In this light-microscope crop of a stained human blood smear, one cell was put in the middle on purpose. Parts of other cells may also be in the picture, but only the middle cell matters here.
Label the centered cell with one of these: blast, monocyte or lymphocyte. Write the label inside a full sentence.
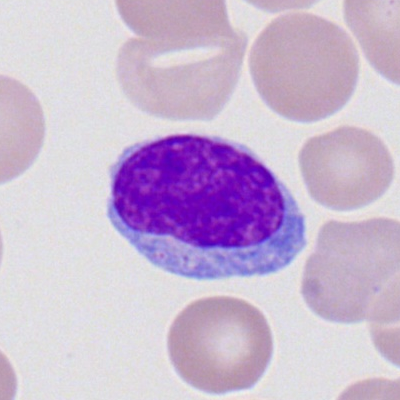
Located at the centre of the crop is a lymphocyte.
